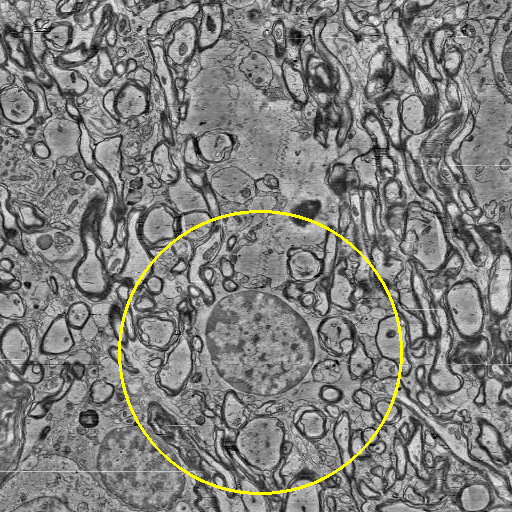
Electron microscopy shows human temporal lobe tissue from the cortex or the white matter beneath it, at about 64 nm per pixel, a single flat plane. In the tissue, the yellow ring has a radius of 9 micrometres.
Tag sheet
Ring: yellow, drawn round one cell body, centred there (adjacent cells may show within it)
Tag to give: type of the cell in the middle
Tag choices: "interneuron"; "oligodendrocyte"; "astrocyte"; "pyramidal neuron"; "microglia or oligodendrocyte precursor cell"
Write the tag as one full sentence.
I tag the cell centred in the yellow ring as a microglial cell or oligodendrocyte precursor cell in this picture.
